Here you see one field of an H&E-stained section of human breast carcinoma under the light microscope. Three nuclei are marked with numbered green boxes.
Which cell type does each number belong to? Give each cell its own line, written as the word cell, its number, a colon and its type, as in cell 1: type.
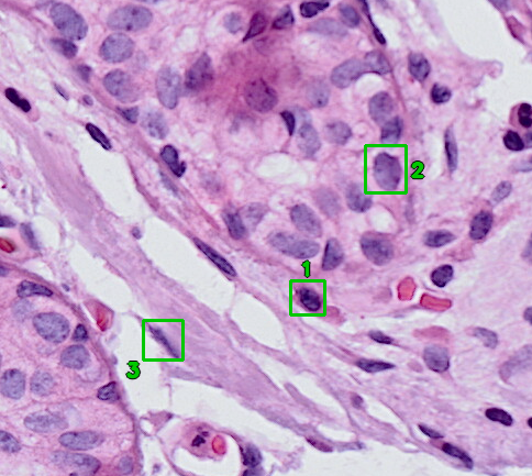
cell 1: mast cell
cell 2: carcinoma cell
cell 3: fibroblast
